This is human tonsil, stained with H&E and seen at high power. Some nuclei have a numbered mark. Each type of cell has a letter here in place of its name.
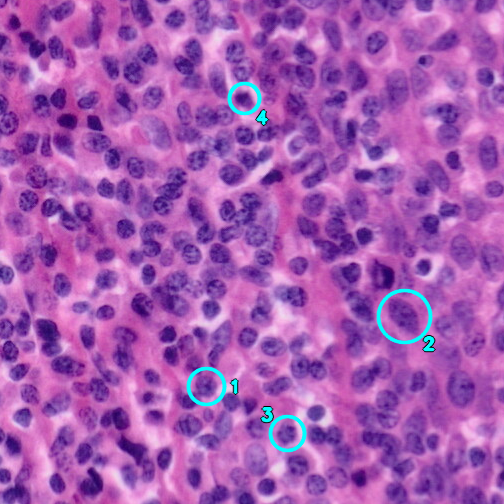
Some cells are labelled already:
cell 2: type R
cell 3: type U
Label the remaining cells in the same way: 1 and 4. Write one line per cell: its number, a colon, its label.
1: type U
4: type U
